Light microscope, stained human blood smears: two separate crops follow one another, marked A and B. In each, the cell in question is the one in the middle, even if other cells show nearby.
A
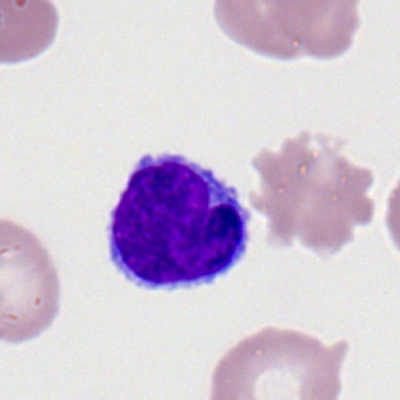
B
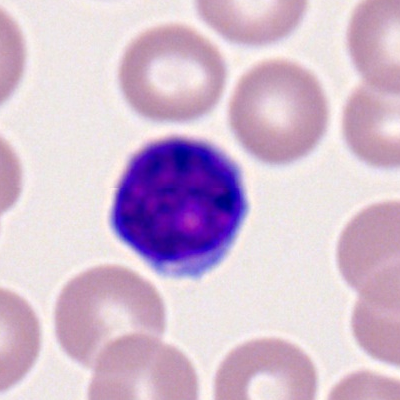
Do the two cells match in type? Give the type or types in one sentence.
Yes, both crops show lymphocytes, the one and the other.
